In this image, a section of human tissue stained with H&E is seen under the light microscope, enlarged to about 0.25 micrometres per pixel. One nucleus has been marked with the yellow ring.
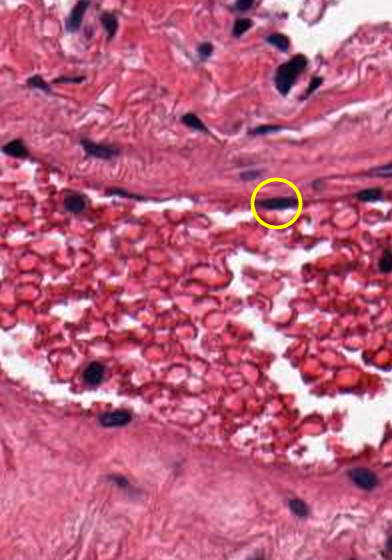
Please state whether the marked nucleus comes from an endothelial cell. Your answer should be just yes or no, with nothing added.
yes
